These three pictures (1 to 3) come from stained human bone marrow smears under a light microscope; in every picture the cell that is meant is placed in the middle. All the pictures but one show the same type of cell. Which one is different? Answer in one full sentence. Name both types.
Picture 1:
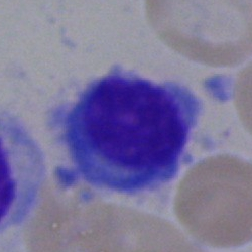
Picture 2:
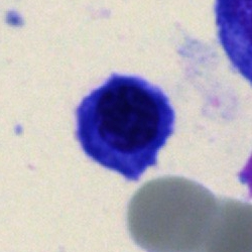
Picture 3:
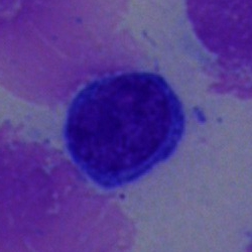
The different one is picture 3; it shows a lymphocyte, whereas all the others show plasma cells.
